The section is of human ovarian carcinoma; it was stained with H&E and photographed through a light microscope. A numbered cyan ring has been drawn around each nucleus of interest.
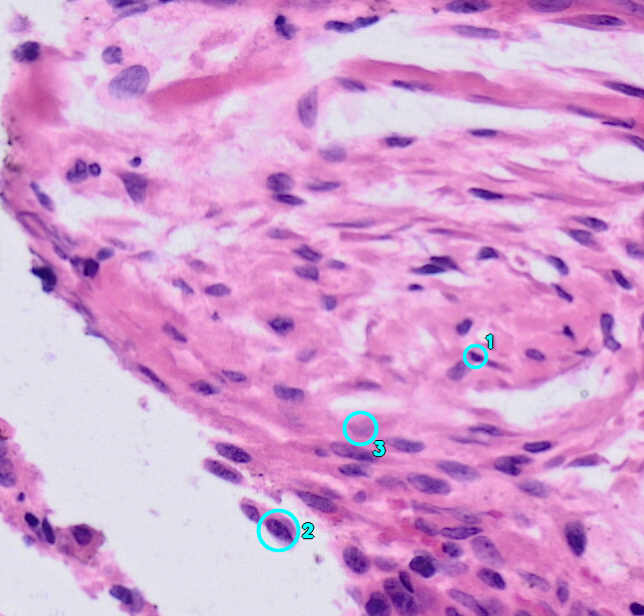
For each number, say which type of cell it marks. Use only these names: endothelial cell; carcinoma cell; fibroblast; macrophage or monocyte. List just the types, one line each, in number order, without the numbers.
fibroblast
carcinoma cell
fibroblast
